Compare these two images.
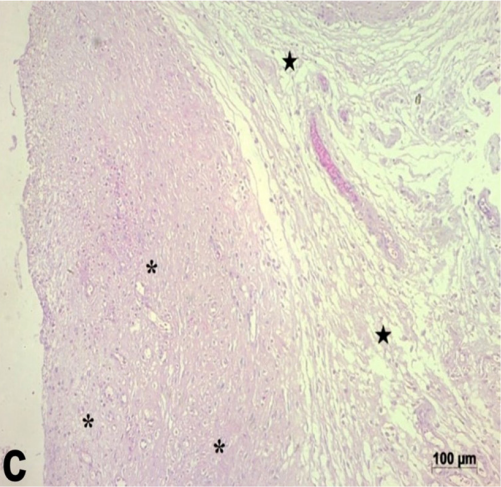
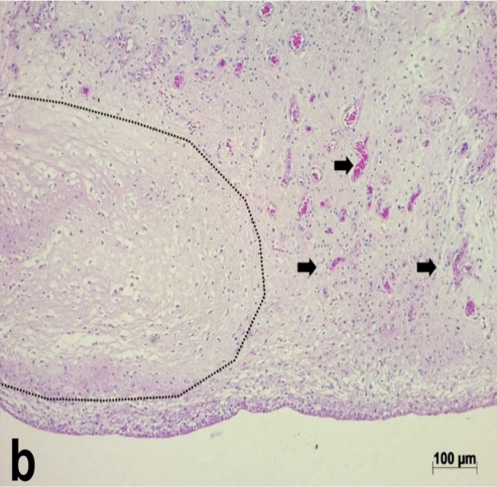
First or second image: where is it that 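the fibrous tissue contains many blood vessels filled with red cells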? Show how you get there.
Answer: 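First image: the dense fibrous band shows few, inconspicuous vessels. Second image: many small channels packed with red-staining cells are scattered through the tissue.
Hence: the second image.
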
